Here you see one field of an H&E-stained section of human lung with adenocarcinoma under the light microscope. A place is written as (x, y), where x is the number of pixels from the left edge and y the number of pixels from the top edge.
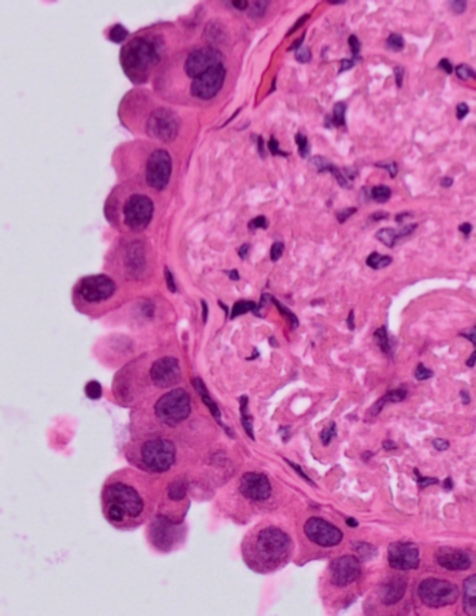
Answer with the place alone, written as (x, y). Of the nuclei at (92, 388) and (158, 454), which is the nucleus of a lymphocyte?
(92, 388)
